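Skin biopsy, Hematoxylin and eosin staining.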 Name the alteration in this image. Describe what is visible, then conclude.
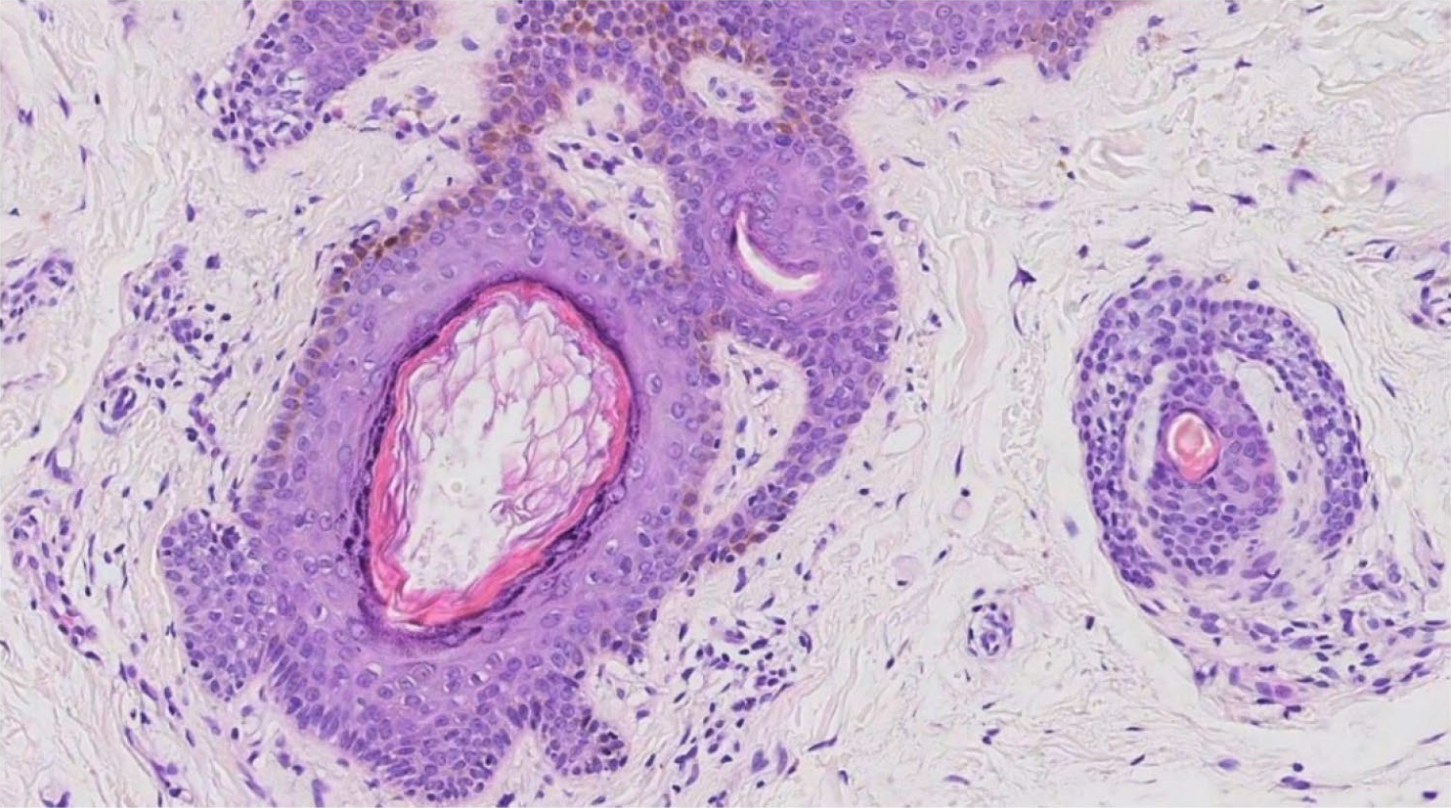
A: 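A dilated follicle-like cavity is filled with pink laminated keratin. Strands of basaloid epithelium branch and join around the follicle. Pale, loose fibrous stroma surrounds the epithelial strands. On this evidence: fibrofolliculoma.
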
